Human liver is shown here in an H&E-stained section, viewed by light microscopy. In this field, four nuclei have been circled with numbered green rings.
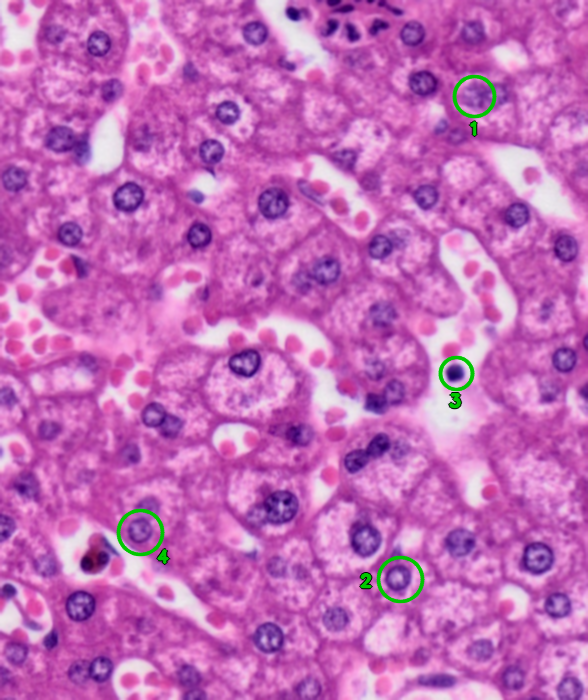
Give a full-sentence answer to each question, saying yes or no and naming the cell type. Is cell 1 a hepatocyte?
Yes, the cell that number 1 points to is a hepatocyte.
